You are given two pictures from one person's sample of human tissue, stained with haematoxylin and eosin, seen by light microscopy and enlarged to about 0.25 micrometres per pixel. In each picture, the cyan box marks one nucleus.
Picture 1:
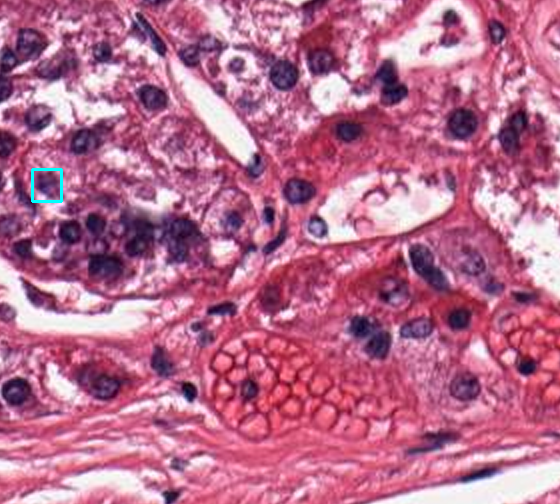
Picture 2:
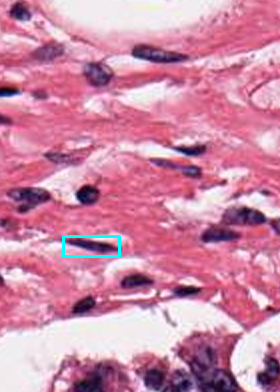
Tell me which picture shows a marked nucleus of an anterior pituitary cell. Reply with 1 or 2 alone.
1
